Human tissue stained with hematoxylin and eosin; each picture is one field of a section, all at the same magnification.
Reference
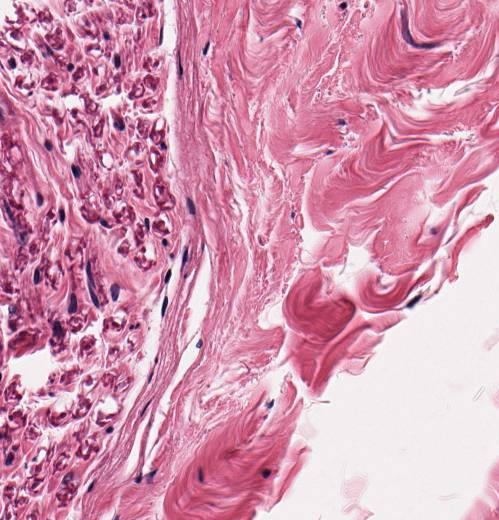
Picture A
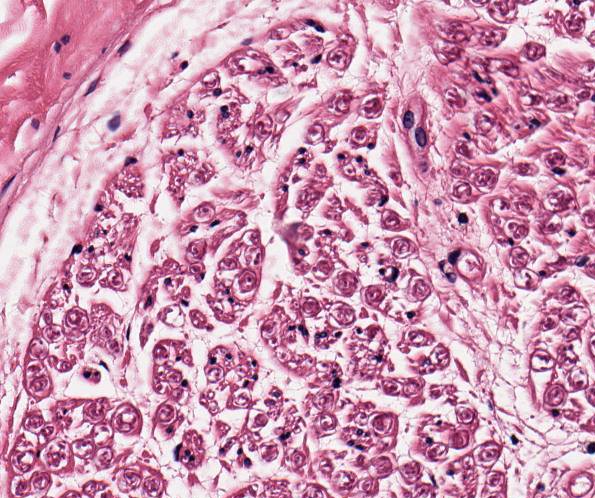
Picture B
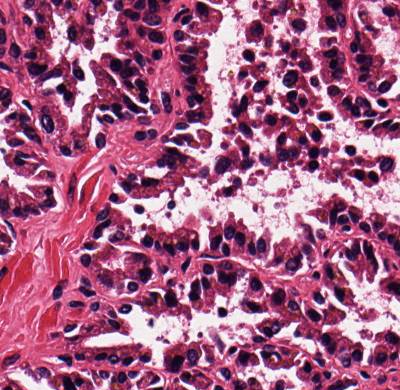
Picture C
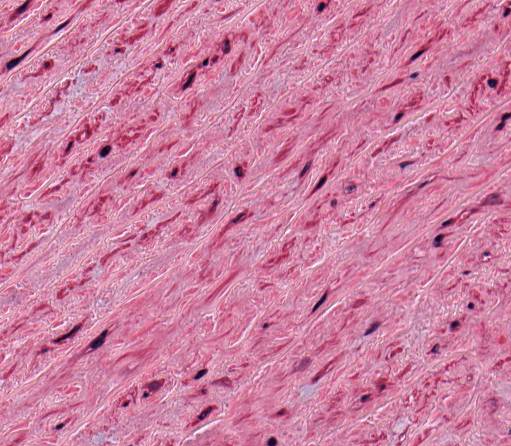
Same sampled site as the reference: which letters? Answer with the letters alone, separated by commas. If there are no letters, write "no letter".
A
